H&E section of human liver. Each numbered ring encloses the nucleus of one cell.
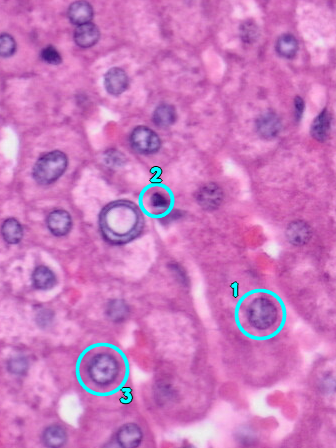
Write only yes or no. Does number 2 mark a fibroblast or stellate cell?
yes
